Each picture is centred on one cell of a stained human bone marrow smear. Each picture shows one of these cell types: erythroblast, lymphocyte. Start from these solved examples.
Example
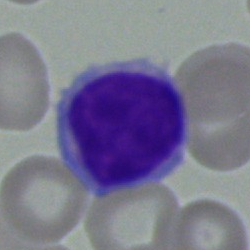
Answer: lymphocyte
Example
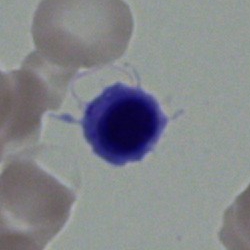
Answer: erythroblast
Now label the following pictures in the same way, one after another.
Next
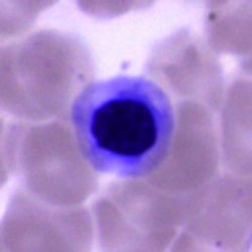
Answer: erythroblast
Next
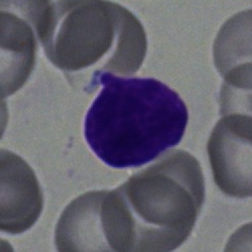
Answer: lymphocyte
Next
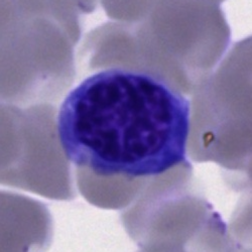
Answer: erythroblast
